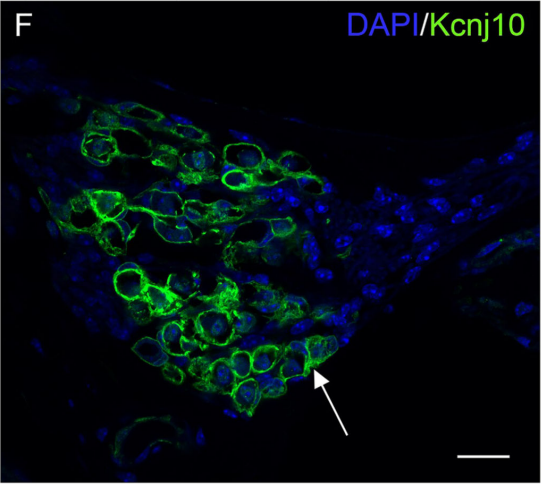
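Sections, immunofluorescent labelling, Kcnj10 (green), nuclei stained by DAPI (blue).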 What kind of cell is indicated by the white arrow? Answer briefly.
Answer: Satellite cell.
